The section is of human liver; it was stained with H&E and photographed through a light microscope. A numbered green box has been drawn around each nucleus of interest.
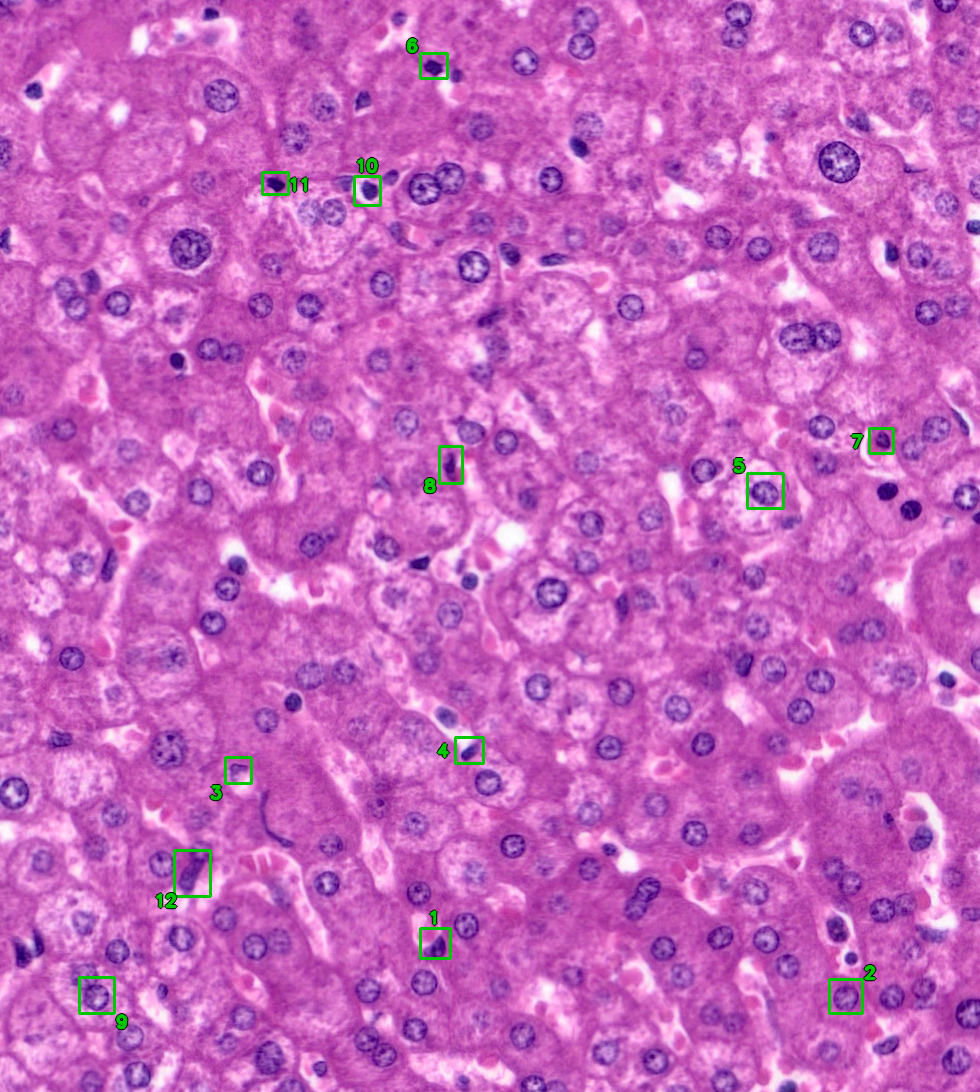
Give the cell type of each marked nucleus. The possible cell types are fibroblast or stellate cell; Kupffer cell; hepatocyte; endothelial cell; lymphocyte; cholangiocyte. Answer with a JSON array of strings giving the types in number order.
["endothelial cell", "hepatocyte", "endothelial cell", "fibroblast or stellate cell", "hepatocyte", "fibroblast or stellate cell", "Kupffer cell", "endothelial cell", "hepatocyte", "lymphocyte", "fibroblast or stellate cell", "Kupffer cell"]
